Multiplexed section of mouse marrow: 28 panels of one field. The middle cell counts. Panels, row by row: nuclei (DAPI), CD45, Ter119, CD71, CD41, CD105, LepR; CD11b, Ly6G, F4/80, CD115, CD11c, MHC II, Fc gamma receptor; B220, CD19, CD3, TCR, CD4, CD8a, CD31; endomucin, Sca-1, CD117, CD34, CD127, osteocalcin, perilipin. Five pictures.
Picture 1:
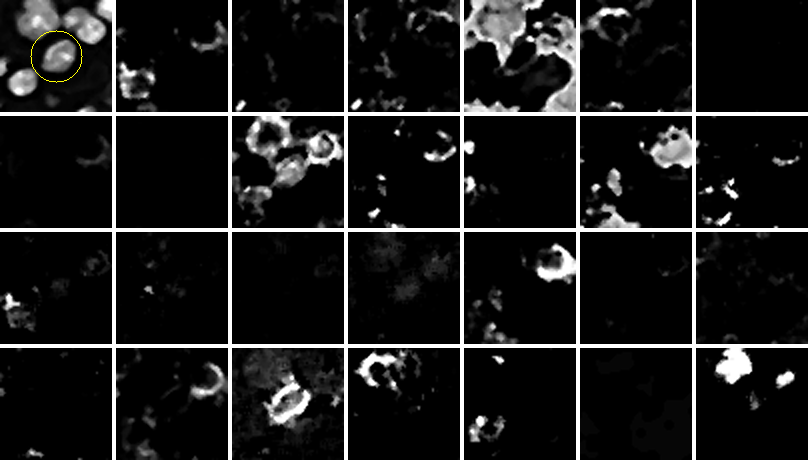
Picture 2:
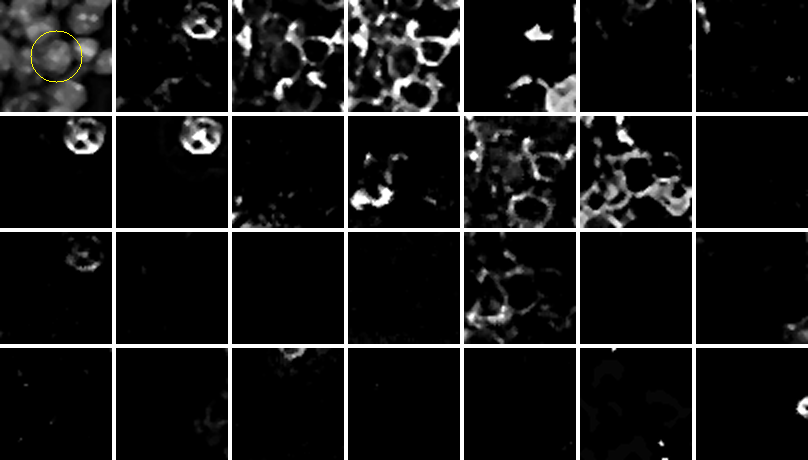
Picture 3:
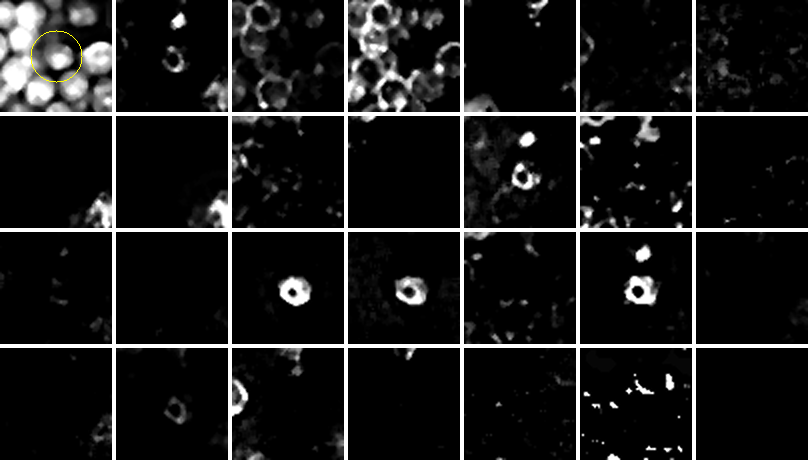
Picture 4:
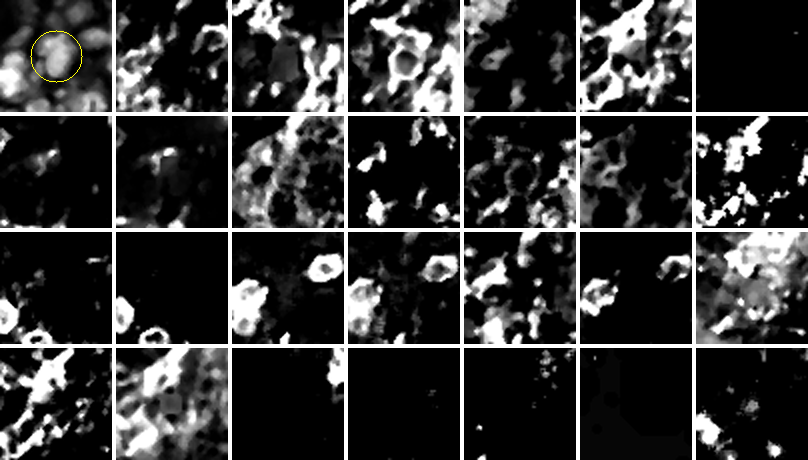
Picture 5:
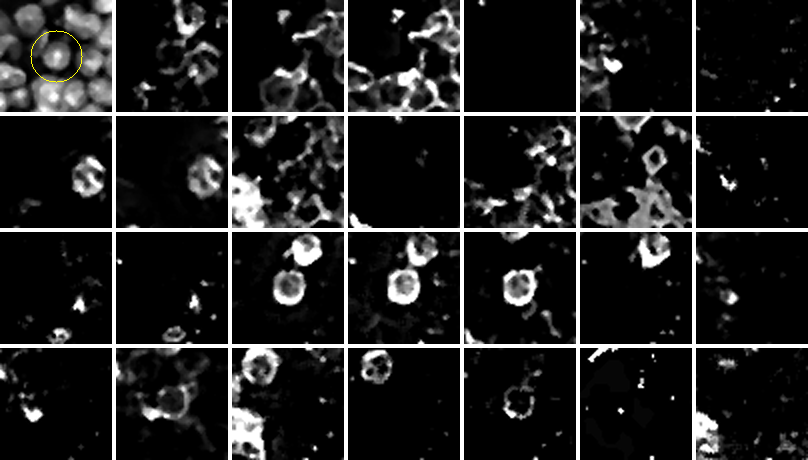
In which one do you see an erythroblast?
In picture 2.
